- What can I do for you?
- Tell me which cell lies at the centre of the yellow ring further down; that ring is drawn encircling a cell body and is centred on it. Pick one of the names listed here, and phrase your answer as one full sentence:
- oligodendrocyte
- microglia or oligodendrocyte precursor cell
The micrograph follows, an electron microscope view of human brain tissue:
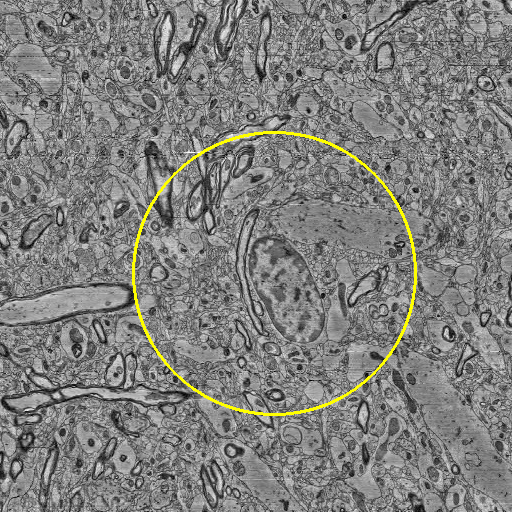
The cell whose body lies at the centre of the yellow ring is a microglial cell or oligodendrocyte precursor cell.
